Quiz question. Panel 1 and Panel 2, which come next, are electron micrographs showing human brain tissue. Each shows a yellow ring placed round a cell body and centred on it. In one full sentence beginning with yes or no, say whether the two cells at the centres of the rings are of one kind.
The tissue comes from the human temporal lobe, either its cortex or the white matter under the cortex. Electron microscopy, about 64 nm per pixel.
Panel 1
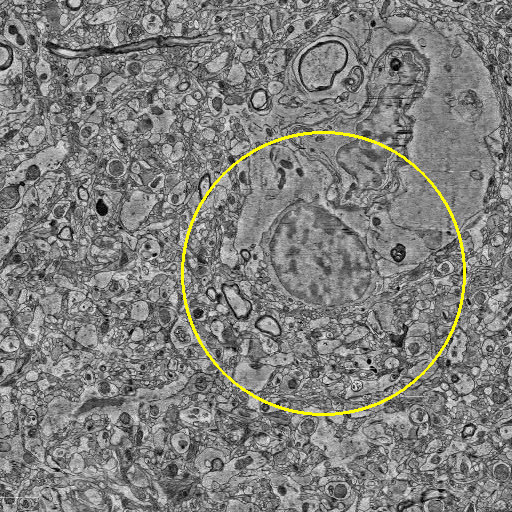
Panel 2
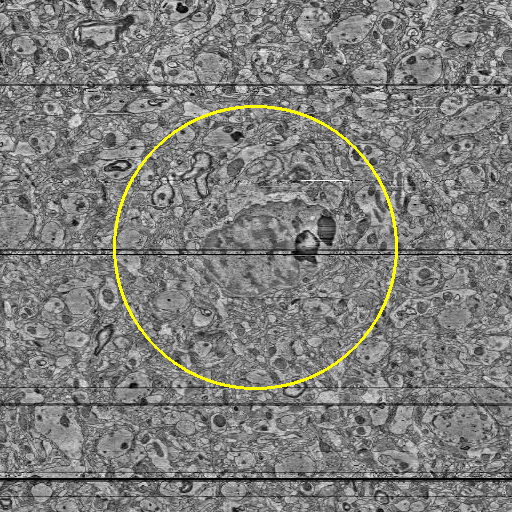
Yes, Panel 1 and Panel 2 show one kind of cell at the centre of the ring.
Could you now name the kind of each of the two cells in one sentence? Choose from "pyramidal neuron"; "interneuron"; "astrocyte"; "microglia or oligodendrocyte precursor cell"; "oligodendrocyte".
Both rings mark an oligodendrocyte, one in each picture.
